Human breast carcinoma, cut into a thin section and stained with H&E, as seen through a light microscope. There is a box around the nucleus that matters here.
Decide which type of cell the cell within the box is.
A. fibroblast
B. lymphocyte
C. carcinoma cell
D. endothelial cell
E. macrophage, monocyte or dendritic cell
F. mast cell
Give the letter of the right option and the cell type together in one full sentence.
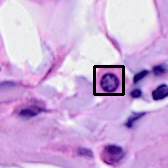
Of the options offered, F is correct, as the cell within the box is a mast cell.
